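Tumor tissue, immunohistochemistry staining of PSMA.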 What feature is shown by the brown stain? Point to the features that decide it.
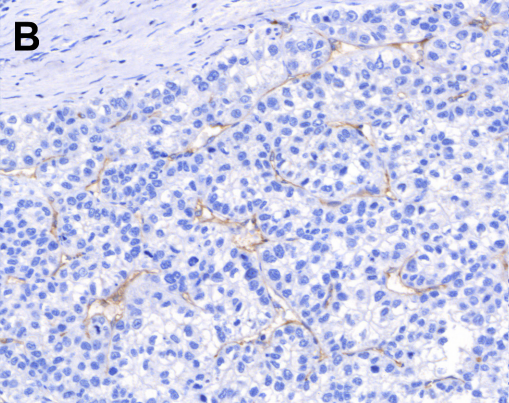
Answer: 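Neovascular. Brown stain lines thin branching channels between nests of tumour cells. The tumour cells themselves are largely unstained.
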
